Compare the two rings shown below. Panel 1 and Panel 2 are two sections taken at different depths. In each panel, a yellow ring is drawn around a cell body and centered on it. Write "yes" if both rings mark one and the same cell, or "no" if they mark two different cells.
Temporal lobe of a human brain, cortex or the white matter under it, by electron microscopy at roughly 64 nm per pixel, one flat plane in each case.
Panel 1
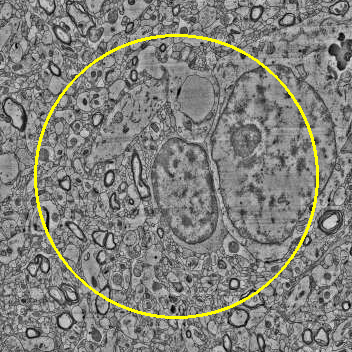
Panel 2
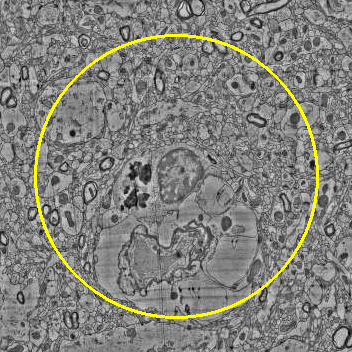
no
